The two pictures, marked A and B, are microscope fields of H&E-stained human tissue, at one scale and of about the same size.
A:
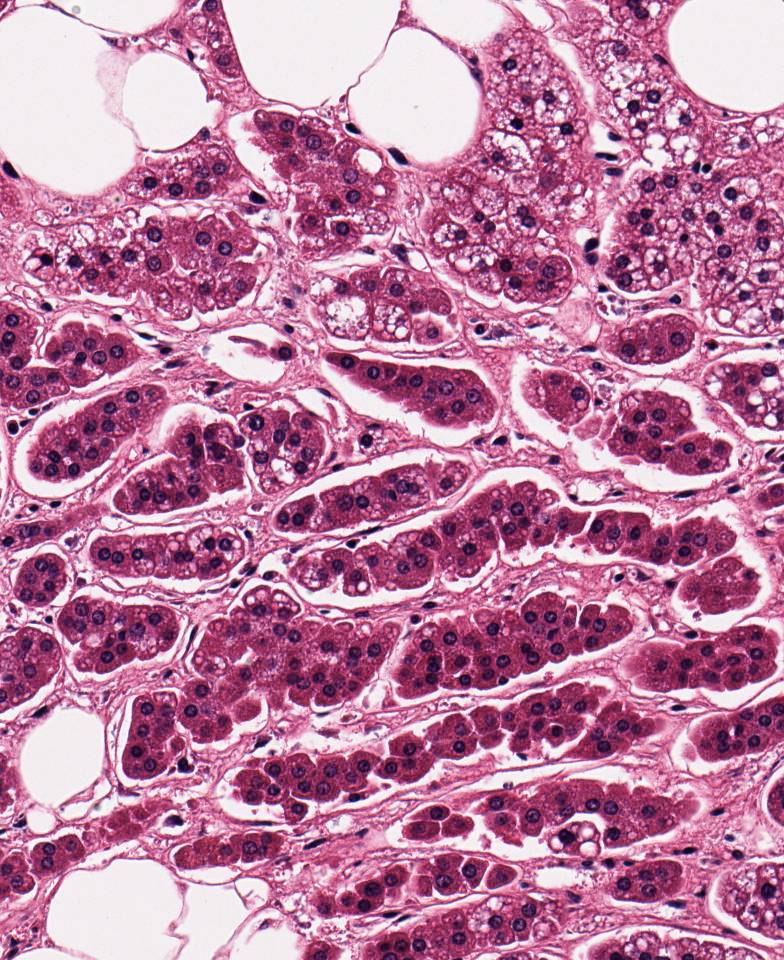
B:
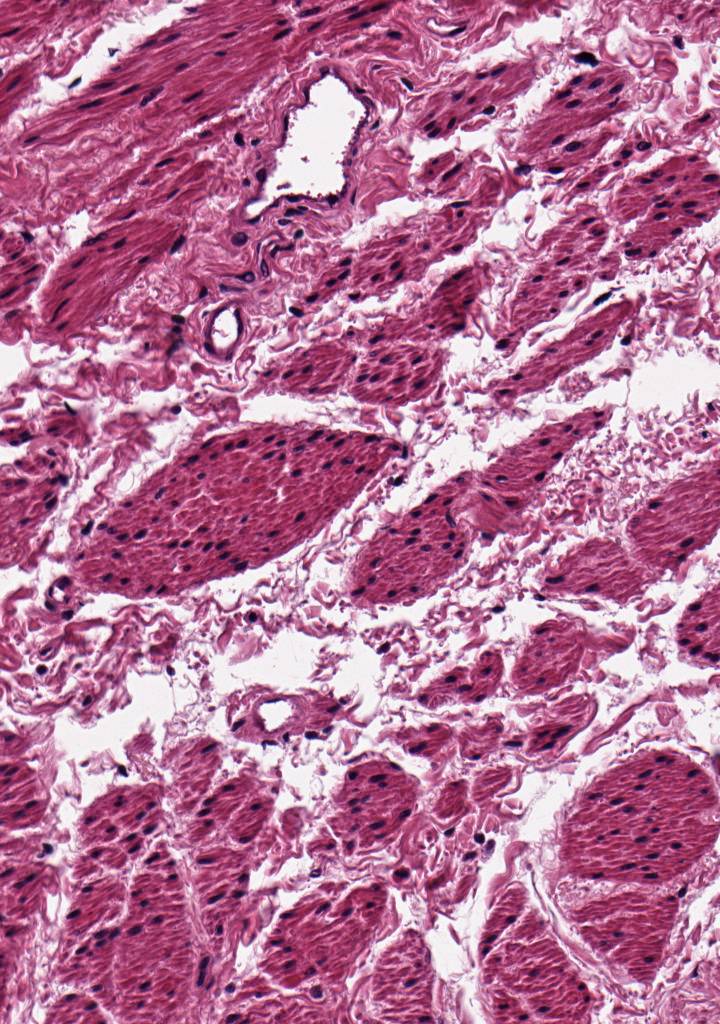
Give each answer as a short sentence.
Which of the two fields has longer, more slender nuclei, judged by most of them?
It is field B whose nuclei are the more elongated.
